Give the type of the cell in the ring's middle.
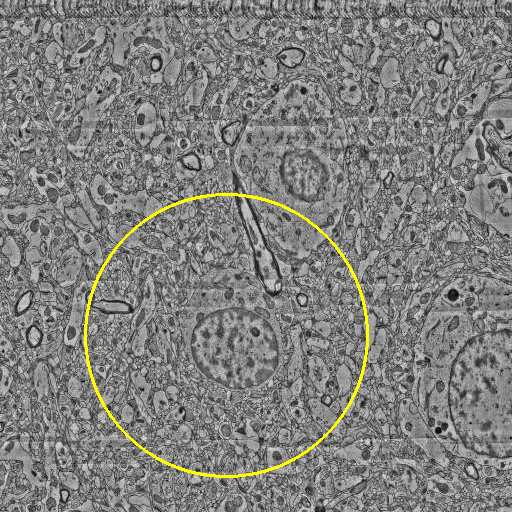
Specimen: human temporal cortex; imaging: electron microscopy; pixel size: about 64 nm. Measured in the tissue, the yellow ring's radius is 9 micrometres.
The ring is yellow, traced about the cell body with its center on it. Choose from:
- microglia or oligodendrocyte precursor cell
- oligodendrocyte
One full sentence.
Here, an oligodendrocyte is the cell lying at the center of the yellow ring.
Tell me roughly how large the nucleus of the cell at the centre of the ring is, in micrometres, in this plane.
About 5 micrometres across in this plane.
